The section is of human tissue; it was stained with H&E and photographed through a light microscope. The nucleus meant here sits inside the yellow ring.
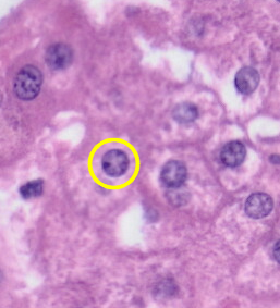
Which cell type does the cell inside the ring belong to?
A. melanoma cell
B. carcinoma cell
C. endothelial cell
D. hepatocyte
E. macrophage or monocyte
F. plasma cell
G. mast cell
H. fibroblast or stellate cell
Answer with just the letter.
D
